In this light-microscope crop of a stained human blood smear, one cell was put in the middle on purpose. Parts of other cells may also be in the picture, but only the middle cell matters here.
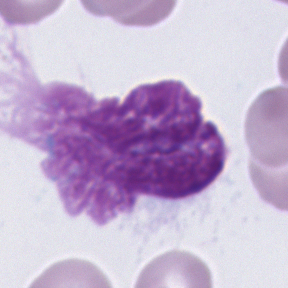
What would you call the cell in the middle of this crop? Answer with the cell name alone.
smudge cell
